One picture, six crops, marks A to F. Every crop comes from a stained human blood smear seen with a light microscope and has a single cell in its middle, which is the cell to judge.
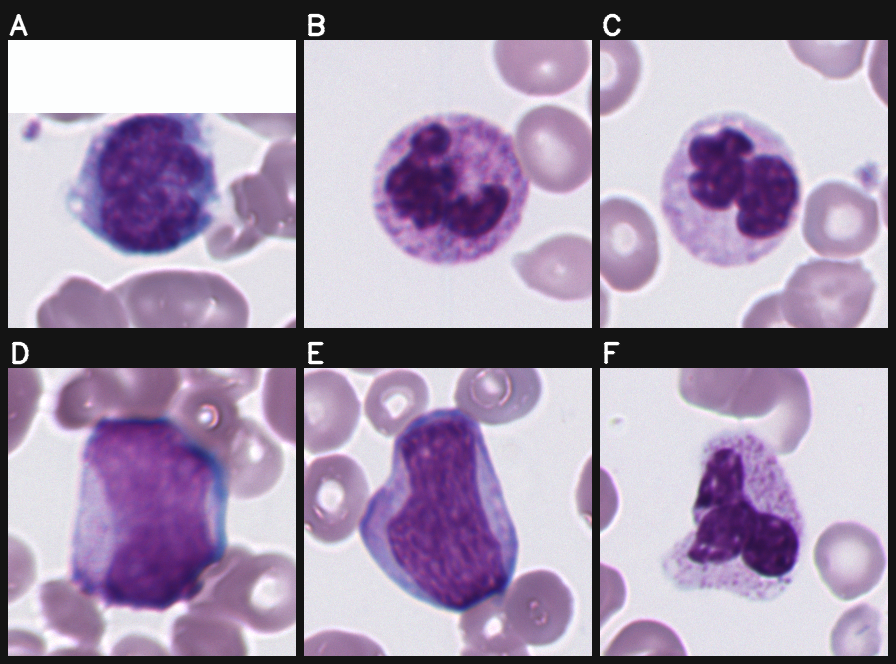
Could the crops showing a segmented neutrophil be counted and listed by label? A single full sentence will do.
Seen in three crops, B, C and F, are segmented neutrophils.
